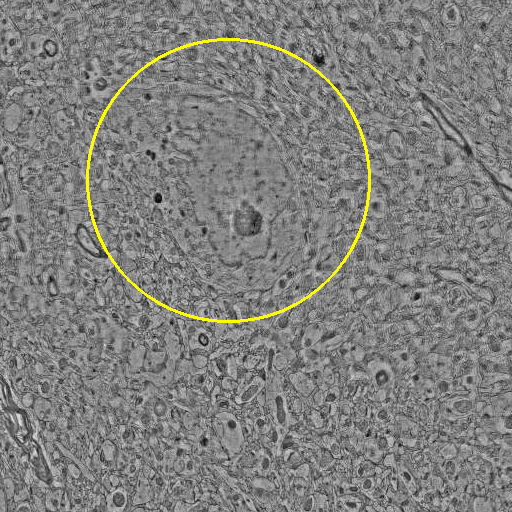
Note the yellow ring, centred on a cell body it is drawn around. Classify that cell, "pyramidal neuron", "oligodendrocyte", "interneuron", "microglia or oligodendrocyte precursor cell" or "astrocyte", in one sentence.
The cell the ring is centred on is an interneuron.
